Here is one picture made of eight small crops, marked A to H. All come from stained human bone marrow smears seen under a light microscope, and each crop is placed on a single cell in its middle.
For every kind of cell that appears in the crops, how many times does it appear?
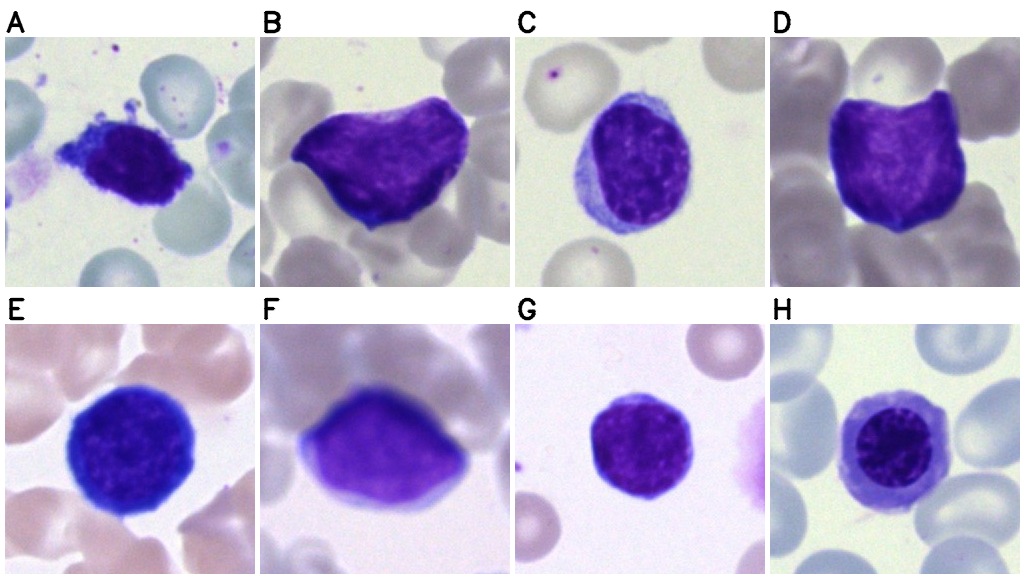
lymphocyte: 3
blast: 3
normoblast: 2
